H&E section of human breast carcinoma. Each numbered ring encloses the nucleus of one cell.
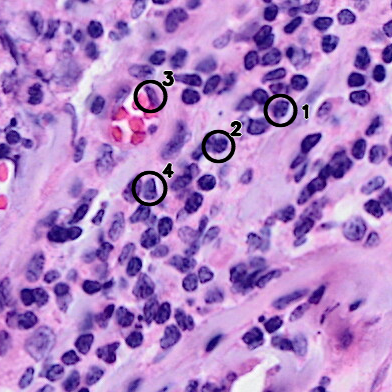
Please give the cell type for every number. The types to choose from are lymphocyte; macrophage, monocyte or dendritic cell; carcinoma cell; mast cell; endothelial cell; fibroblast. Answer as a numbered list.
1. lymphocyte
2. lymphocyte
3. endothelial cell
4. lymphocyte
